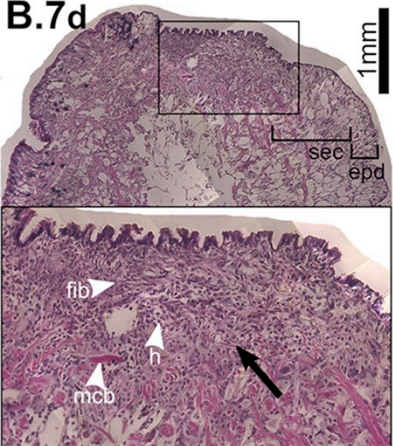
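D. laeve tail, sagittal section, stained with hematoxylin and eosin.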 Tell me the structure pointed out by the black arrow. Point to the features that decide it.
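The arrow points into a dense mass of crowded cells beneath the surface epithelium. This cell mass replaces the loose vacuolated tissue seen deeper in the section. That points to this answer: blastema.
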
